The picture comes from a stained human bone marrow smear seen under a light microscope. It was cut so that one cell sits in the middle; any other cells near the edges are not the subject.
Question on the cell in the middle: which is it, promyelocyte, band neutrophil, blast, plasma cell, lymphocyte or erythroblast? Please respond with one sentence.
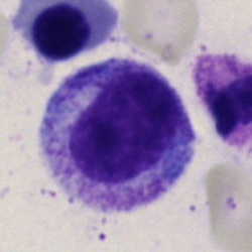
The cell under consideration, at the middle of the crop, is a promyelocyte.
